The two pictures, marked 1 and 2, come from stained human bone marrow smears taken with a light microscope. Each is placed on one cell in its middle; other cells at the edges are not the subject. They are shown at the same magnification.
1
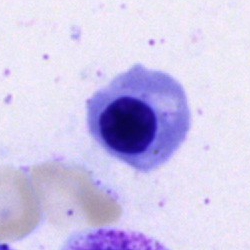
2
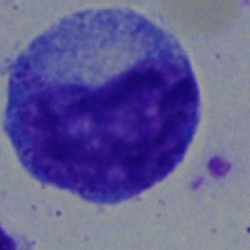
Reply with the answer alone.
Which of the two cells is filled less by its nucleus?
1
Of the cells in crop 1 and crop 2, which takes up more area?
2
